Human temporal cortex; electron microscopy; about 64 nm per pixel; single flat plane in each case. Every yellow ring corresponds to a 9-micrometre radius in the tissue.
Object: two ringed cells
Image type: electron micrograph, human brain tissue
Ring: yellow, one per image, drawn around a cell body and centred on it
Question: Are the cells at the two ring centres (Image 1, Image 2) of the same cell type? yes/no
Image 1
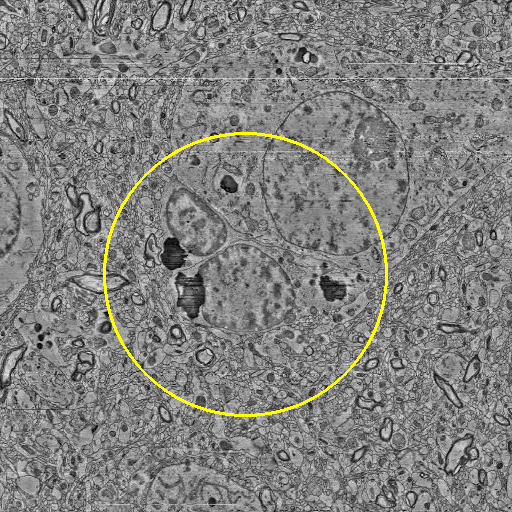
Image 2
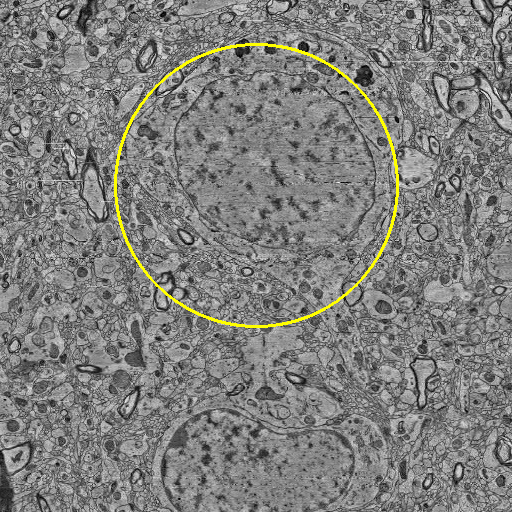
no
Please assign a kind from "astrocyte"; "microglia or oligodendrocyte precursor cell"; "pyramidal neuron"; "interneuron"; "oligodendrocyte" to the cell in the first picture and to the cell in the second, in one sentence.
In the first picture we have an oligodendrocyte, and in the second, a pyramidal neuron.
